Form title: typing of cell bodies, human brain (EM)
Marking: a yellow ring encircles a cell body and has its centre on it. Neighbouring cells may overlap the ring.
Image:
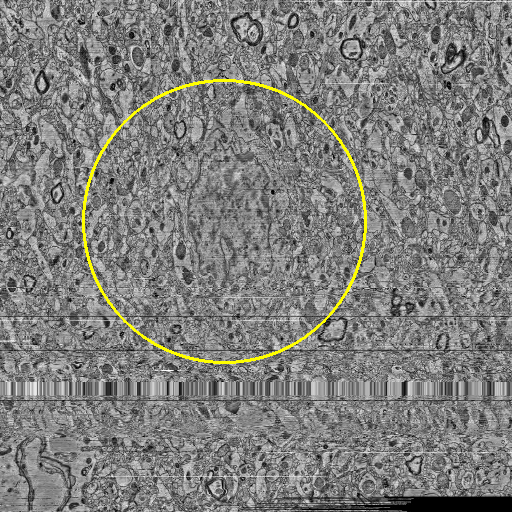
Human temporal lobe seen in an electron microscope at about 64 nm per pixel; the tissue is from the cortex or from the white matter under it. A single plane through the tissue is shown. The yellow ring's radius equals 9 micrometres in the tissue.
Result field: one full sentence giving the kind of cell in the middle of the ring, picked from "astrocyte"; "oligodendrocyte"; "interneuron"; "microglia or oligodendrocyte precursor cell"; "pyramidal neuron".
In the picture, the ring is centred on an interneuron, whose cell body it encircles.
